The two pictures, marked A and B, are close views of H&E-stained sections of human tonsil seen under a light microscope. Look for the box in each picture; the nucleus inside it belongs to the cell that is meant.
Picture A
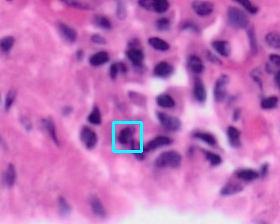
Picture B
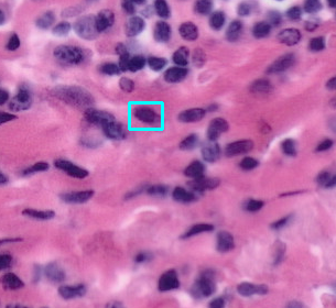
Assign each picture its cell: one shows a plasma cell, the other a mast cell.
A: plasma cell
B: mast cell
